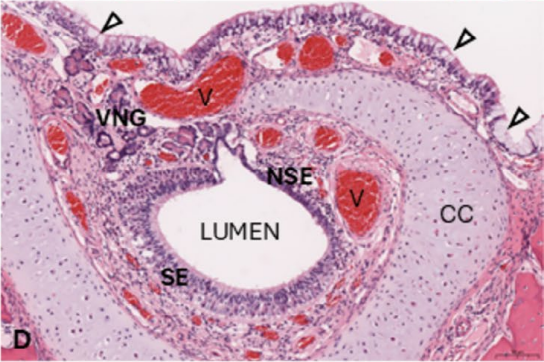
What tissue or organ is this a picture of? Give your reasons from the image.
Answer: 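Vomeronasal organ. A tube with a central lumen is enclosed in a thick curved capsule of hyaline cartilage. One wall of the lumen carries a much thicker, densely nucleated epithelium than the other. Small glandular acini and large blood-filled vessels lie beside the lumen inside the capsule.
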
